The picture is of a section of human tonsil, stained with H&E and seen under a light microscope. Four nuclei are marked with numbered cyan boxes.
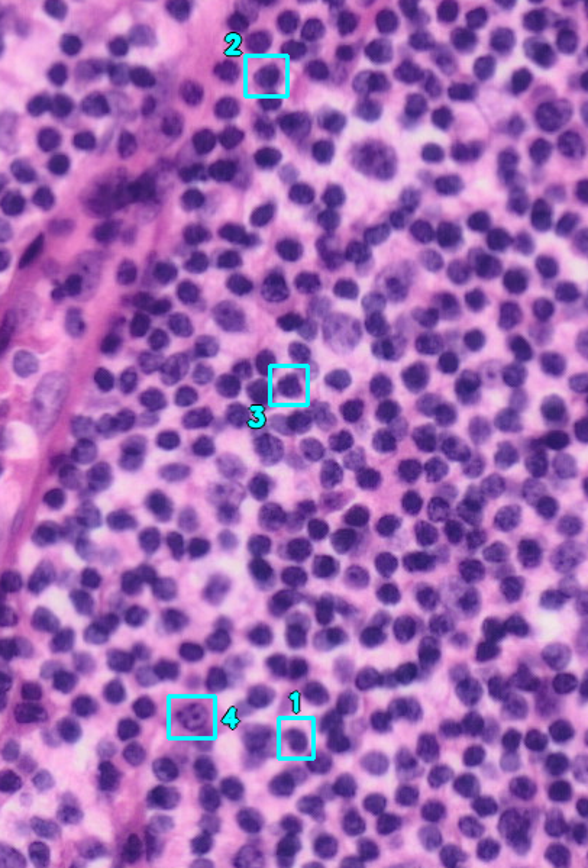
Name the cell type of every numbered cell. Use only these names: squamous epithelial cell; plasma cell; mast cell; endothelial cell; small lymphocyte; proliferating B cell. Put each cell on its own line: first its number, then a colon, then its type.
1: small lymphocyte
2: small lymphocyte
3: small lymphocyte
4: plasma cell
